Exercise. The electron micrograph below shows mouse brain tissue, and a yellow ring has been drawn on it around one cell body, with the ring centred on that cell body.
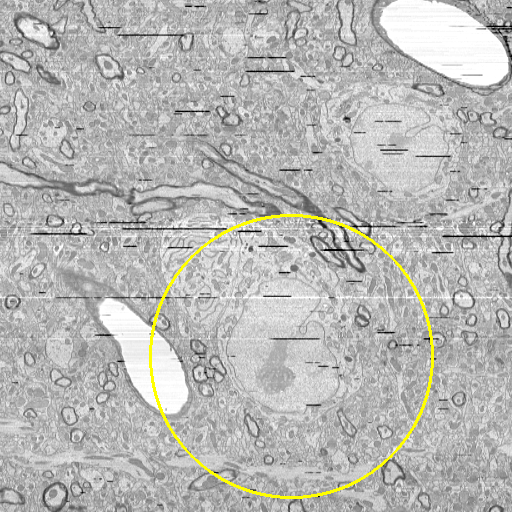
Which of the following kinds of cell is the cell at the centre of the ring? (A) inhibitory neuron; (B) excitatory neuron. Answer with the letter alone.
A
